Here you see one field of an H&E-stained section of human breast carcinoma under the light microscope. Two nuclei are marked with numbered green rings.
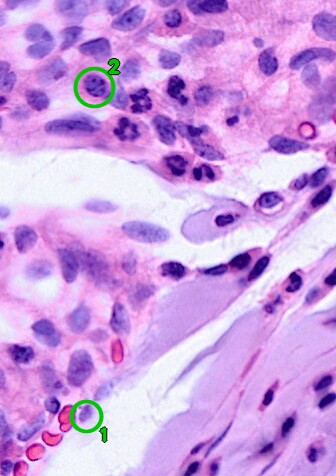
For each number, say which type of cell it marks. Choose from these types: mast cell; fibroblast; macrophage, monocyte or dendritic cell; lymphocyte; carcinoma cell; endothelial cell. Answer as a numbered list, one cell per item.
1. endothelial cell
2. mast cell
